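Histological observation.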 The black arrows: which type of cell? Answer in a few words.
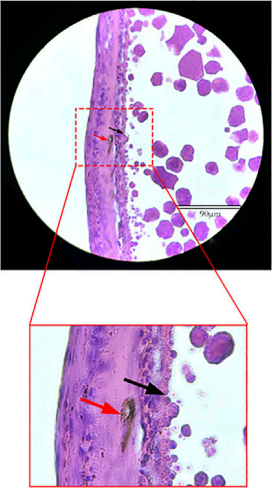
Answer: Follicle granulosa cells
